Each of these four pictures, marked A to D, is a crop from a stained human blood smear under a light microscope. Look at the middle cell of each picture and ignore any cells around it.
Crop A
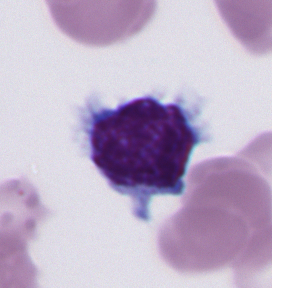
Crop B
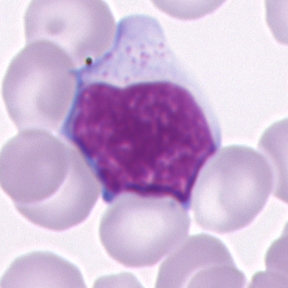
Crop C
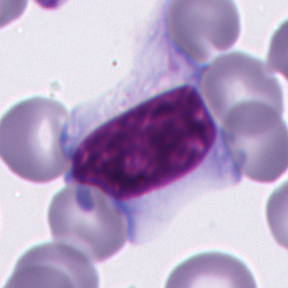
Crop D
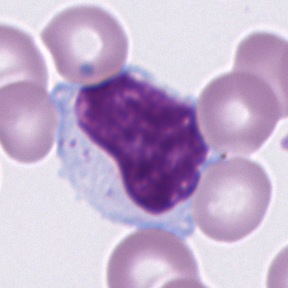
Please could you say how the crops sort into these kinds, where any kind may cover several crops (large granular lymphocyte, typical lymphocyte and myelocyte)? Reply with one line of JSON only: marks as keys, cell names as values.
{"A": "typical lymphocyte", "B": "large granular lymphocyte", "C": "large granular lymphocyte", "D": "large granular lymphocyte"}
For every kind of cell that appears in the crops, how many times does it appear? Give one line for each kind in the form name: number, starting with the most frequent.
large granular lymphocyte: 3
typical lymphocyte: 1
